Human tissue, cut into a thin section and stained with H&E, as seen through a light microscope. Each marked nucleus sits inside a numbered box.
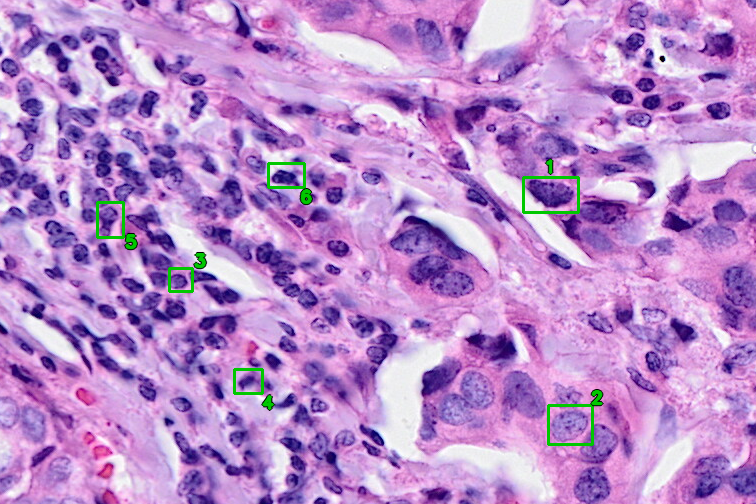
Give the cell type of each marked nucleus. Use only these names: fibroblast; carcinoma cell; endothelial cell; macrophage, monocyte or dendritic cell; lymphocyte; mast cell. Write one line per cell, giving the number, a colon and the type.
1: carcinoma cell
2: carcinoma cell
3: lymphocyte
4: lymphocyte
5: lymphocyte
6: lymphocyte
